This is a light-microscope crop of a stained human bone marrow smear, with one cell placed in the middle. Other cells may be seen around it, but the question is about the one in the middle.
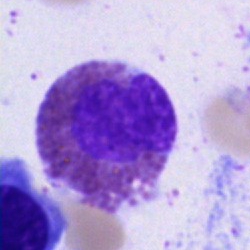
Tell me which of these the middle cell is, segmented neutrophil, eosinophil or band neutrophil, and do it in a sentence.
The middle of this crop holds an eosinophil.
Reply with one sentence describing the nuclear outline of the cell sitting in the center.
A single compact nucleus, round, oval or kidney-shaped, is what this cell shows.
